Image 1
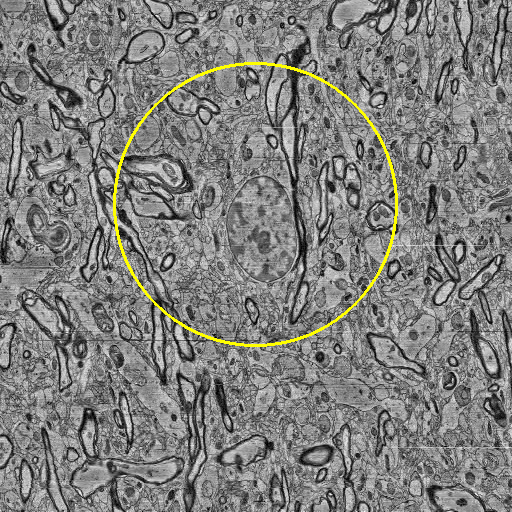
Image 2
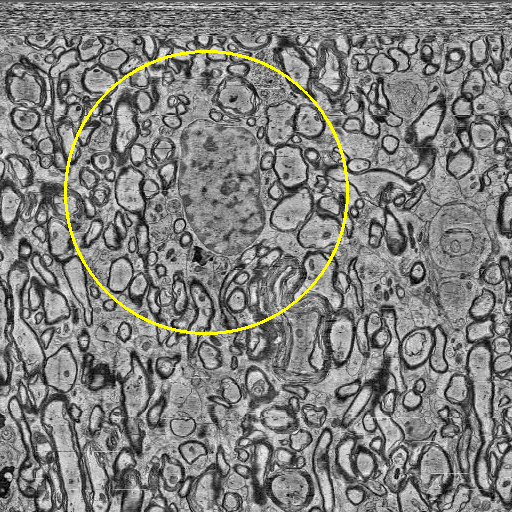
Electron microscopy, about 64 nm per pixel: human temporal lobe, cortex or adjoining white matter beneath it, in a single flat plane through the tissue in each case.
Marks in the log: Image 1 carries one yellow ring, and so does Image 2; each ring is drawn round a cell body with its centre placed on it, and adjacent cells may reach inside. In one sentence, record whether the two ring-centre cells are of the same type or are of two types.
The two cells at the ring centres, one in each image, are of the same type.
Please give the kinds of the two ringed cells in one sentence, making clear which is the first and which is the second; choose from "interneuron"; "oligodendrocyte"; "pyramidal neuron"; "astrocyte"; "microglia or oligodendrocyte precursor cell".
Each of the two cells is a microglial cell or oligodendrocyte precursor cell.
